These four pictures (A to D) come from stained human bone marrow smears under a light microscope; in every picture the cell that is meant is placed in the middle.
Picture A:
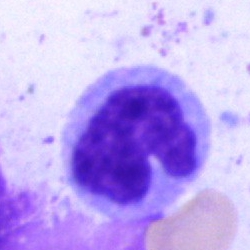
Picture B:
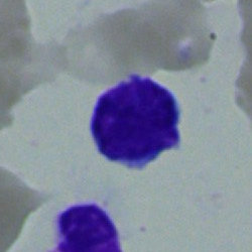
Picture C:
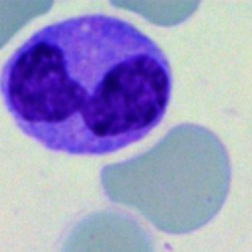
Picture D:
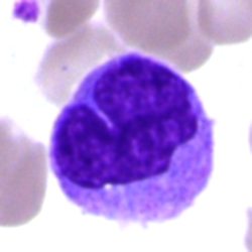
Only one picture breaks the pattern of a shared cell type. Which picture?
B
